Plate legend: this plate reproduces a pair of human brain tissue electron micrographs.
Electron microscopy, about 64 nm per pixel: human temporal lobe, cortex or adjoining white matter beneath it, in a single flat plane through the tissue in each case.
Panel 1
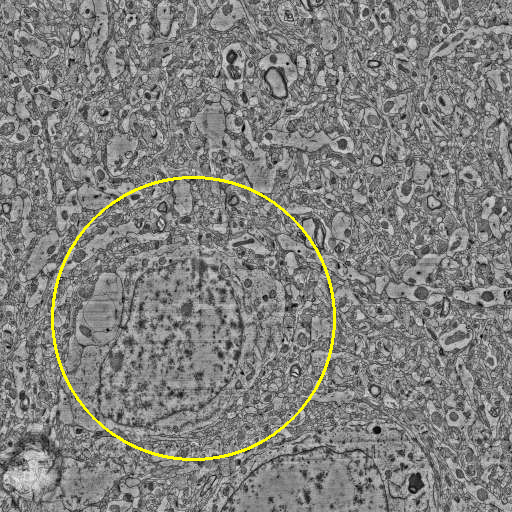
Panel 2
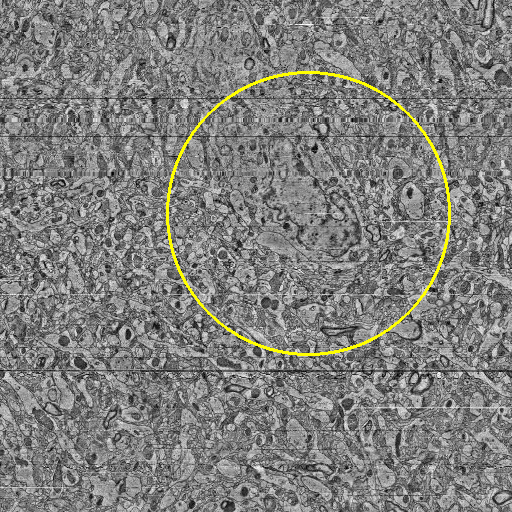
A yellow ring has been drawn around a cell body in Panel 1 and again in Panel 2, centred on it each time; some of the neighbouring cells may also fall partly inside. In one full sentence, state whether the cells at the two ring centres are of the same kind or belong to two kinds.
The ring-centred cells of Panel 1 and Panel 2 are of the same kind.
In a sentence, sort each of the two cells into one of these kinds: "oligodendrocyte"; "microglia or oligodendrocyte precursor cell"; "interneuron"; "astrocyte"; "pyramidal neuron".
In the first picture and in the second, the ring is centred on an interneuron.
